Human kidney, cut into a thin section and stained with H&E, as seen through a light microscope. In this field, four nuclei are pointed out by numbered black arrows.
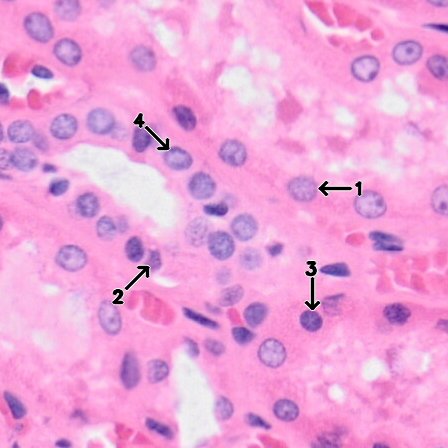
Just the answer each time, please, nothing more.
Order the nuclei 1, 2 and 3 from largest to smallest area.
1, 3, 2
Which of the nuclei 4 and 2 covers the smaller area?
2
